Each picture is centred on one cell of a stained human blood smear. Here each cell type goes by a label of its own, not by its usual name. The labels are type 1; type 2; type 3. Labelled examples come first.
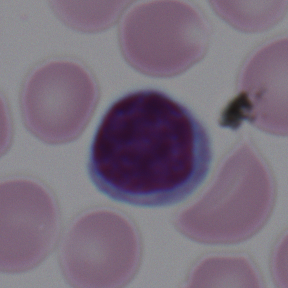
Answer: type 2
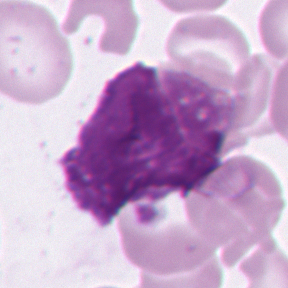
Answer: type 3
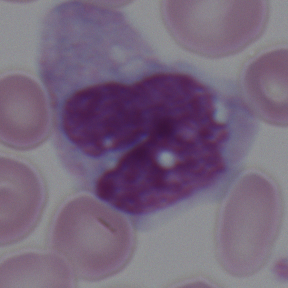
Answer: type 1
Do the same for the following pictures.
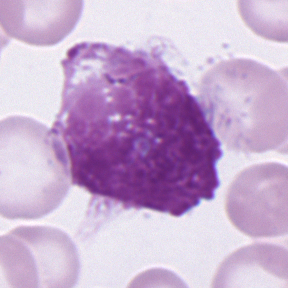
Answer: type 3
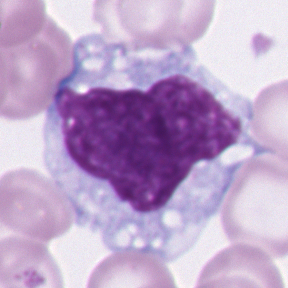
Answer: type 1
